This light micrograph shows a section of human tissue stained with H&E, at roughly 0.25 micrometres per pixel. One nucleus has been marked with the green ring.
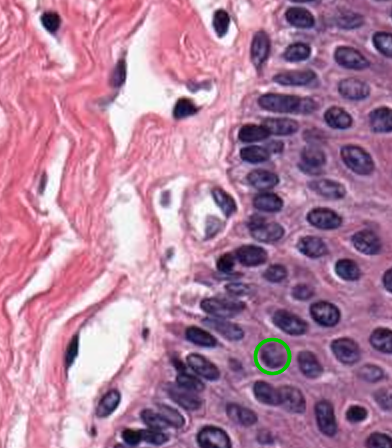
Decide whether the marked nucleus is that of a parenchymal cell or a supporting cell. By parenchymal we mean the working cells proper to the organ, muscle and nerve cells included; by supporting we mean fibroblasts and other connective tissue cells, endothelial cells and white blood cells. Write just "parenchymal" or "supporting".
parenchymal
